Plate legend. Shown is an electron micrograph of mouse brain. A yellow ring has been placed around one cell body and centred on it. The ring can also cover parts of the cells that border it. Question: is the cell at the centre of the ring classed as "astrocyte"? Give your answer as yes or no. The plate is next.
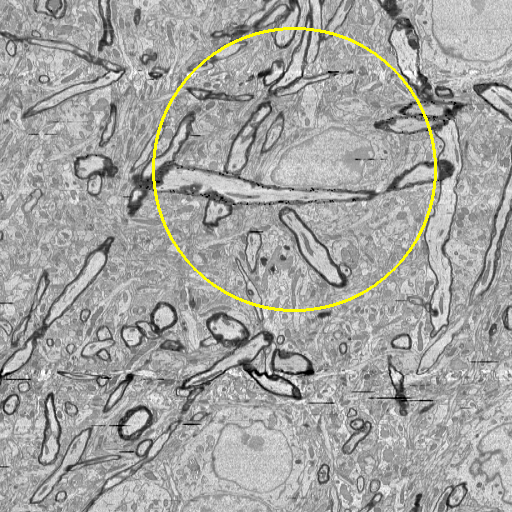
No, the ringed cell is of another kind.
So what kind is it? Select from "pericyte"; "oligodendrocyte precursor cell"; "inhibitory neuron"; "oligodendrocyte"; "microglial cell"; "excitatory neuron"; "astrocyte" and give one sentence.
Instead, the ringed cell here is an oligodendrocyte precursor cell.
